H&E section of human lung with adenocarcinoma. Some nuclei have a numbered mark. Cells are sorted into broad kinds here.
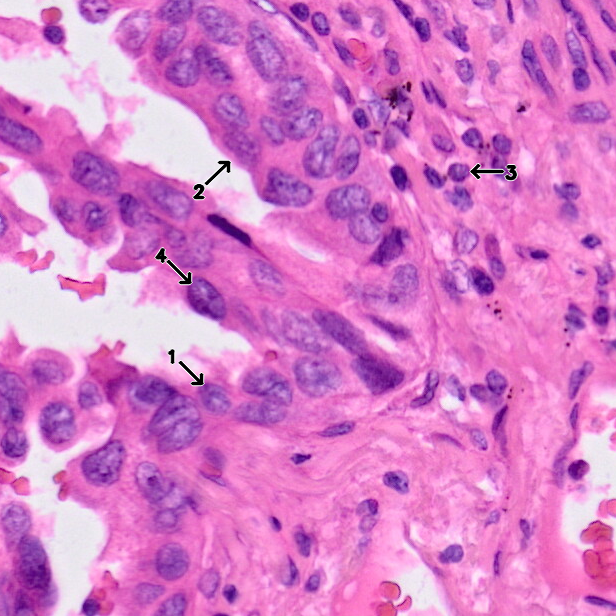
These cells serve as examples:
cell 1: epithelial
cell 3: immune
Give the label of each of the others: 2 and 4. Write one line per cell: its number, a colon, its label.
2: epithelial
4: epithelial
